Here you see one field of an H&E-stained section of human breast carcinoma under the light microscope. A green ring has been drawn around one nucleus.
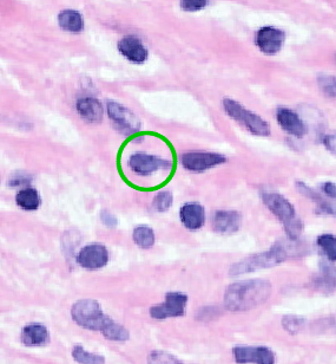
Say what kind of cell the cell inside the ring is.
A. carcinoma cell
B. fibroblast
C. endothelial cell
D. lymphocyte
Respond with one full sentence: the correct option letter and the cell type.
Answer with option D; the cell inside the ring is a lymphocyte.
